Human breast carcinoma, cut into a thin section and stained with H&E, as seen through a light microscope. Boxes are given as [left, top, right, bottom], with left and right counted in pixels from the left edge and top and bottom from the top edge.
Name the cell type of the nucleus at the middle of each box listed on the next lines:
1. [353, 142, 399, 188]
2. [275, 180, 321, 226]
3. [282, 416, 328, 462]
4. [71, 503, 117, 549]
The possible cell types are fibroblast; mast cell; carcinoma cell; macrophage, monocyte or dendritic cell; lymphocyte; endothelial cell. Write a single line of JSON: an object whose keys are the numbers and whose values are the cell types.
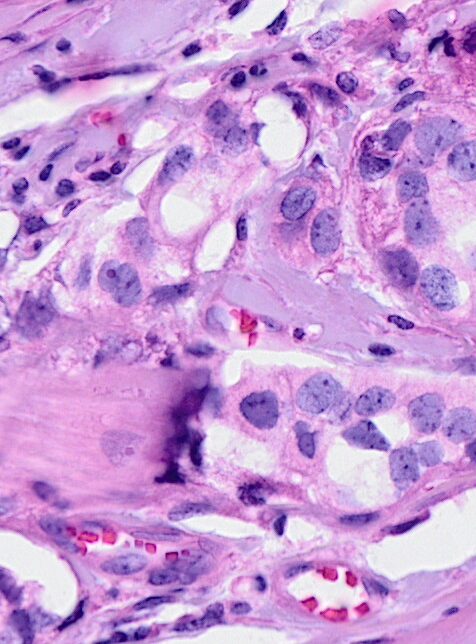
{"1": "carcinoma cell", "2": "carcinoma cell", "3": "carcinoma cell", "4": "endothelial cell"}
